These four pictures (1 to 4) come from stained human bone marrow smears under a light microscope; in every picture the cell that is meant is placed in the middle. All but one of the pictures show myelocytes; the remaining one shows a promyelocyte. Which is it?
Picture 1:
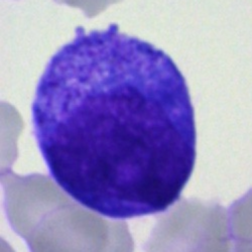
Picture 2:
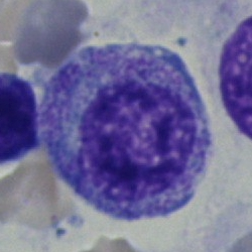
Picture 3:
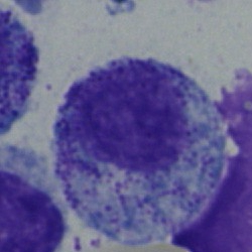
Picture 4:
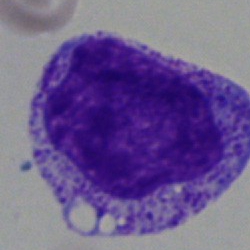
1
